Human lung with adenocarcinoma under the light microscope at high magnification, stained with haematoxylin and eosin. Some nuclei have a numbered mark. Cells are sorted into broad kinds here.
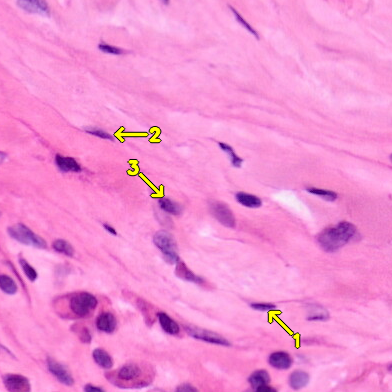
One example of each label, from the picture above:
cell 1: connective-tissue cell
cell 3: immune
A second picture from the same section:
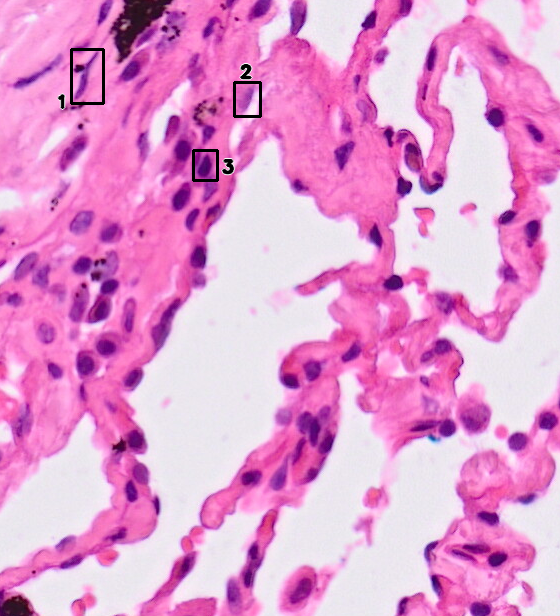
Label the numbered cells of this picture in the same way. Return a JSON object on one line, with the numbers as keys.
{"1": "connective-tissue cell", "2": "connective-tissue cell", "3": "immune"}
